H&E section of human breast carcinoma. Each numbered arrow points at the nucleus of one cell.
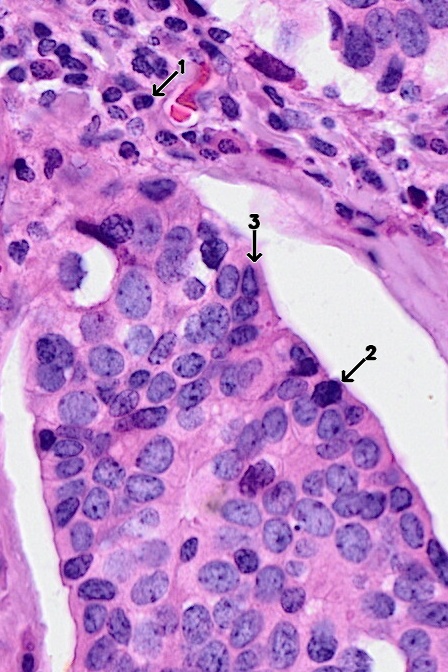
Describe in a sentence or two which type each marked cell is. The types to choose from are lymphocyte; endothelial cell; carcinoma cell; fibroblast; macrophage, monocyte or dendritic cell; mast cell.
Cell 1 is a lymphocyte, cell 2 is a carcinoma cell and cell 3 is a carcinoma cell.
